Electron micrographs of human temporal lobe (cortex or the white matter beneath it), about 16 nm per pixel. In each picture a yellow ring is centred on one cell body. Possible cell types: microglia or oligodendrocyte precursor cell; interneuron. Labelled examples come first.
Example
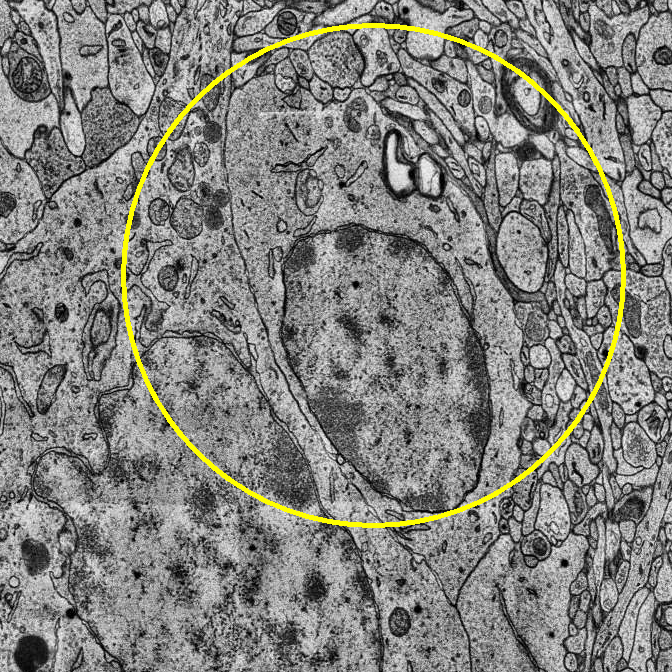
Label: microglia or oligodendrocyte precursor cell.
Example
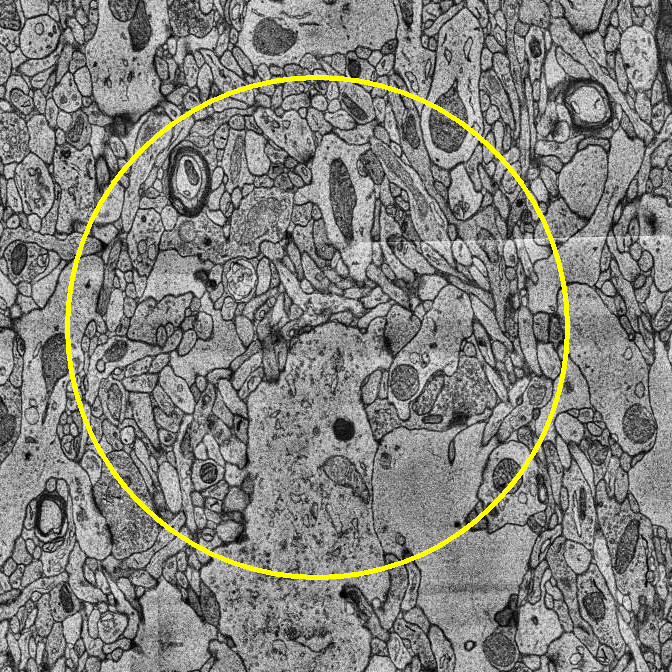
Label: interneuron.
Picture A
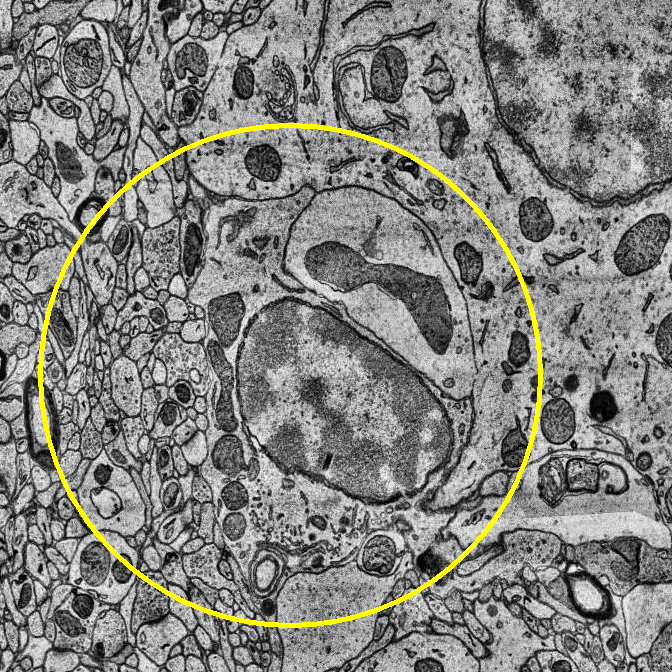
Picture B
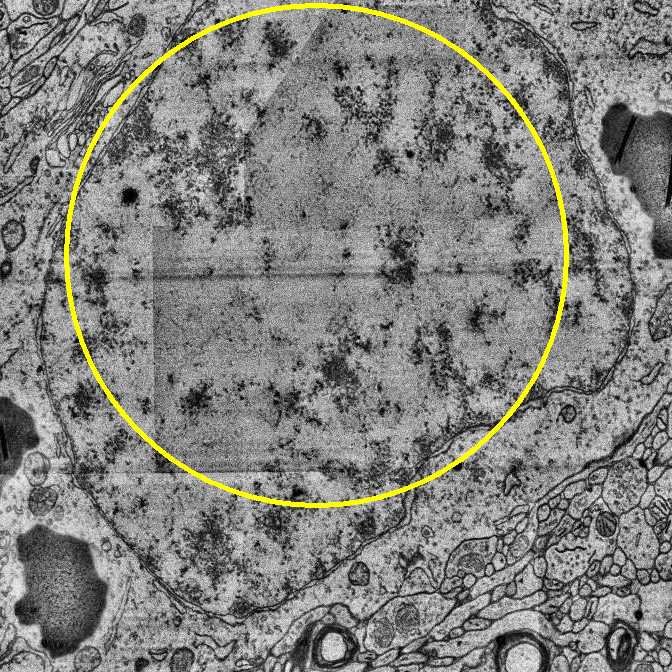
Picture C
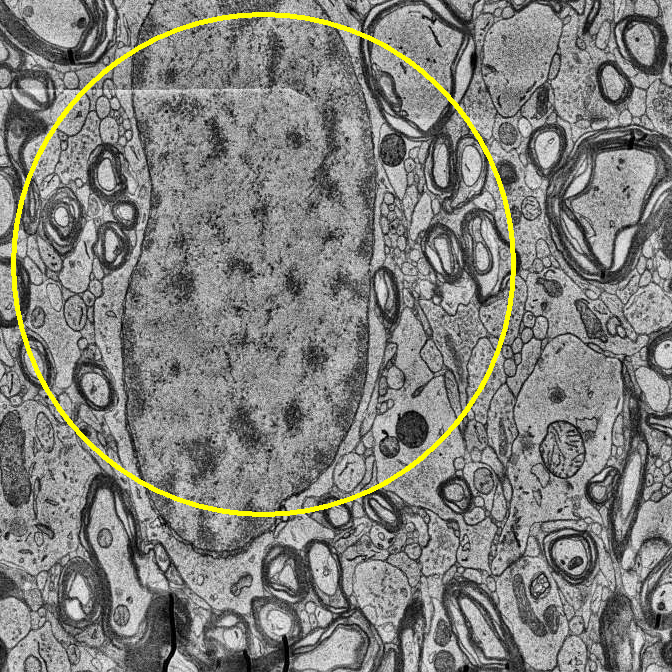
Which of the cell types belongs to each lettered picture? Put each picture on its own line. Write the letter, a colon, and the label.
A: microglia or oligodendrocyte precursor cell.
B: interneuron.
C: microglia or oligodendrocyte precursor cell.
